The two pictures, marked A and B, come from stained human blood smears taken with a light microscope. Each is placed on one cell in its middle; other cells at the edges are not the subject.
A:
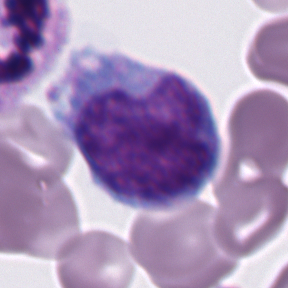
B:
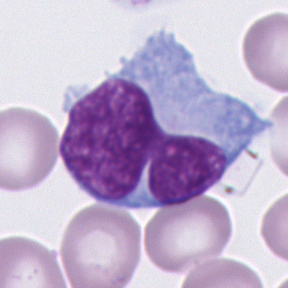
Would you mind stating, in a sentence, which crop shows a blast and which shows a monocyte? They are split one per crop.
Represented in crop A is a monocyte; represented in crop B is a blast.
